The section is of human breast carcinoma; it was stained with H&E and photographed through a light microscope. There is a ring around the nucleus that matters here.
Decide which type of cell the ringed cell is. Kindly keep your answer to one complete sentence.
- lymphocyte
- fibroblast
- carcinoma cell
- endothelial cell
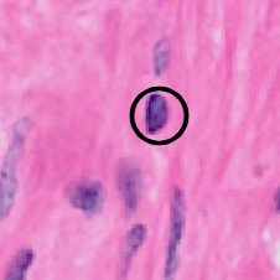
The cell type represented by the ringed cell is that of a lymphocyte.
